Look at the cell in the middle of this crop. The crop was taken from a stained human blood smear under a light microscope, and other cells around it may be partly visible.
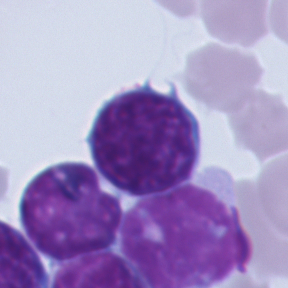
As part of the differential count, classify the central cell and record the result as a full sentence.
In this crop, the cell at the very middle is a blast.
